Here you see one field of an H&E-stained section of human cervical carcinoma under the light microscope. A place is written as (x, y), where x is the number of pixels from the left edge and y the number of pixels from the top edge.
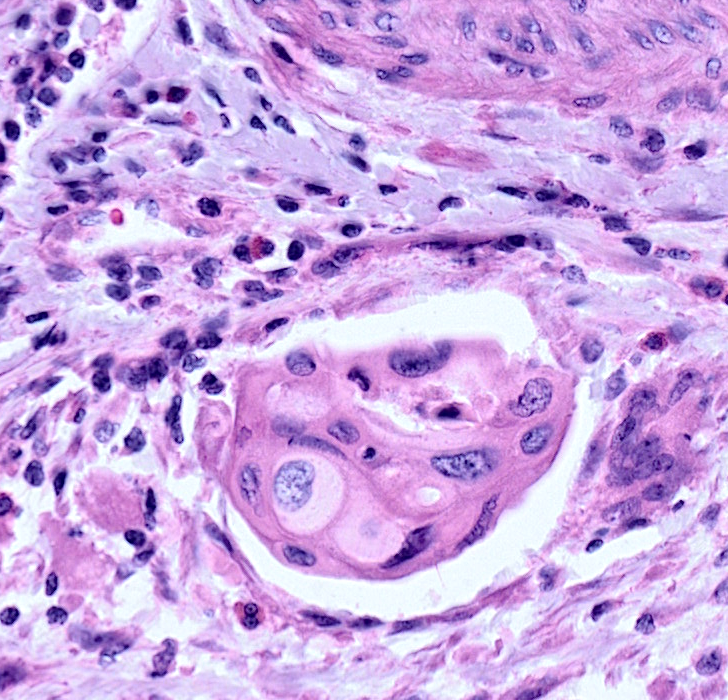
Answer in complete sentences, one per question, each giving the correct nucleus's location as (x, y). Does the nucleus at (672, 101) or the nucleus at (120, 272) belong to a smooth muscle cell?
The nucleus at (672, 101) is assigned to a smooth muscle cell.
